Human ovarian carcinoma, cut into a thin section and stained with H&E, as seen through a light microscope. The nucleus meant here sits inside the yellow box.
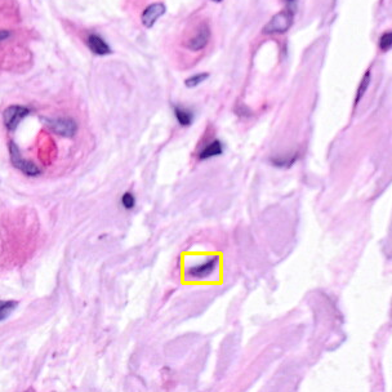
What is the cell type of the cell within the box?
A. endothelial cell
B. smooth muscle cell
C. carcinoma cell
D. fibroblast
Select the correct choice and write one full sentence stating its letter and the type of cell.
The correct choice is option A; the cell within the box is an endothelial cell.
